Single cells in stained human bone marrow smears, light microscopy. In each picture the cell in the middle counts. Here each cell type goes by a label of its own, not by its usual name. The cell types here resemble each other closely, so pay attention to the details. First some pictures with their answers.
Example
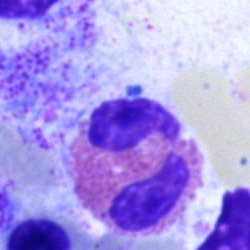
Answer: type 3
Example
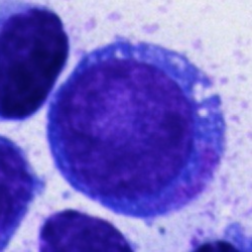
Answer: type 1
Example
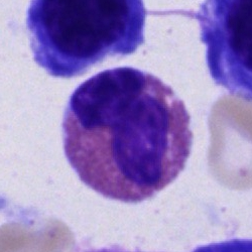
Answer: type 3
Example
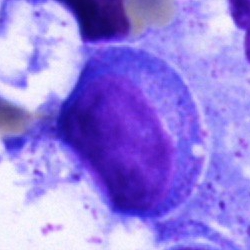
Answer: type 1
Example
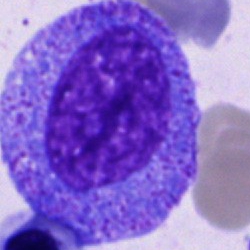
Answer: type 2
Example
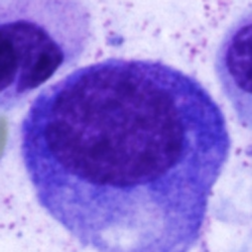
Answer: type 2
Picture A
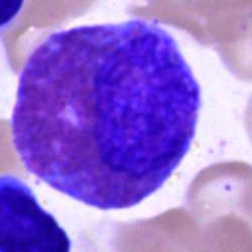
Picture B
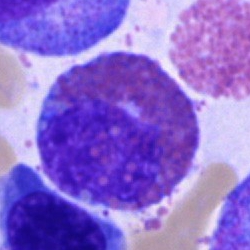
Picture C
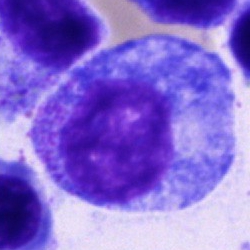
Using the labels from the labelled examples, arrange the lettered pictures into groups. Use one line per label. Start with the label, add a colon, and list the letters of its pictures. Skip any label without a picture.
type 3: A, B
type 2: C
